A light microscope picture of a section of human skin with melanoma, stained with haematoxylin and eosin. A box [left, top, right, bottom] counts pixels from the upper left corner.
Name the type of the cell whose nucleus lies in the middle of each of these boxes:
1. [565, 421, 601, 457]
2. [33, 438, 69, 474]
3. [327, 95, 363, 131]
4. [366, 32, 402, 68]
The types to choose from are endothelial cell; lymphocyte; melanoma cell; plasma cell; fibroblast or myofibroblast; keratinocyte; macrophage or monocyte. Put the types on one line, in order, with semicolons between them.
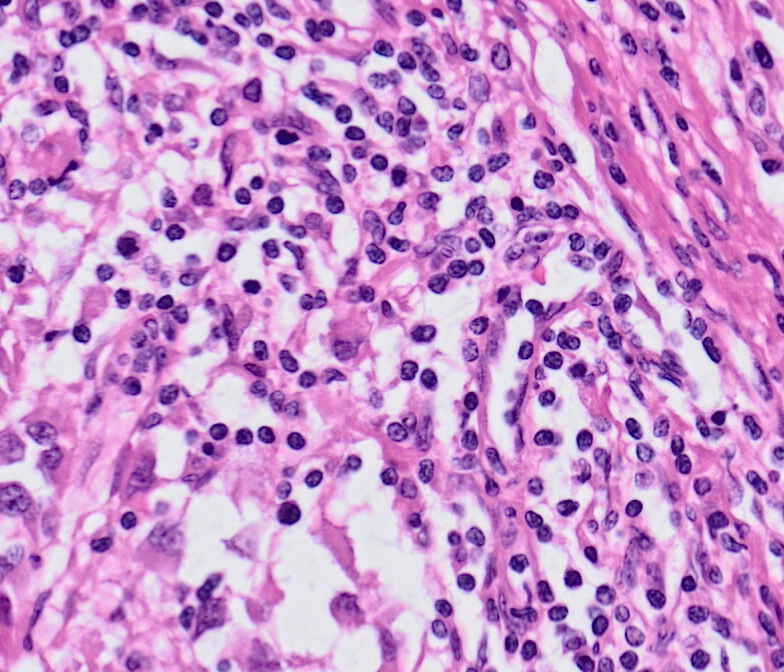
lymphocyte; melanoma cell; lymphocyte; lymphocyte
